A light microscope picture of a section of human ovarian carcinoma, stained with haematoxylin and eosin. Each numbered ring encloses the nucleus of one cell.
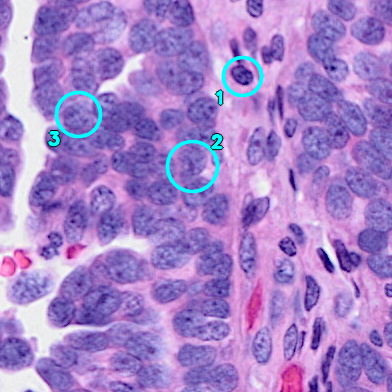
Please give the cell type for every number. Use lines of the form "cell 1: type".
cell 1: lymphocyte
cell 2: carcinoma cell
cell 3: carcinoma cell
